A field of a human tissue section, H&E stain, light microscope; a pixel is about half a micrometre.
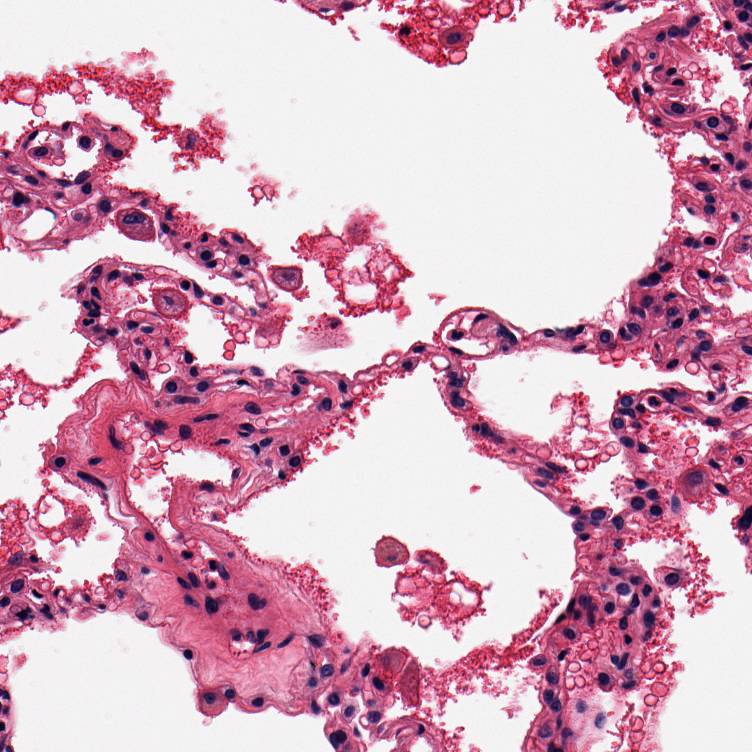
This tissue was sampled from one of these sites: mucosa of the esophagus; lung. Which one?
lung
